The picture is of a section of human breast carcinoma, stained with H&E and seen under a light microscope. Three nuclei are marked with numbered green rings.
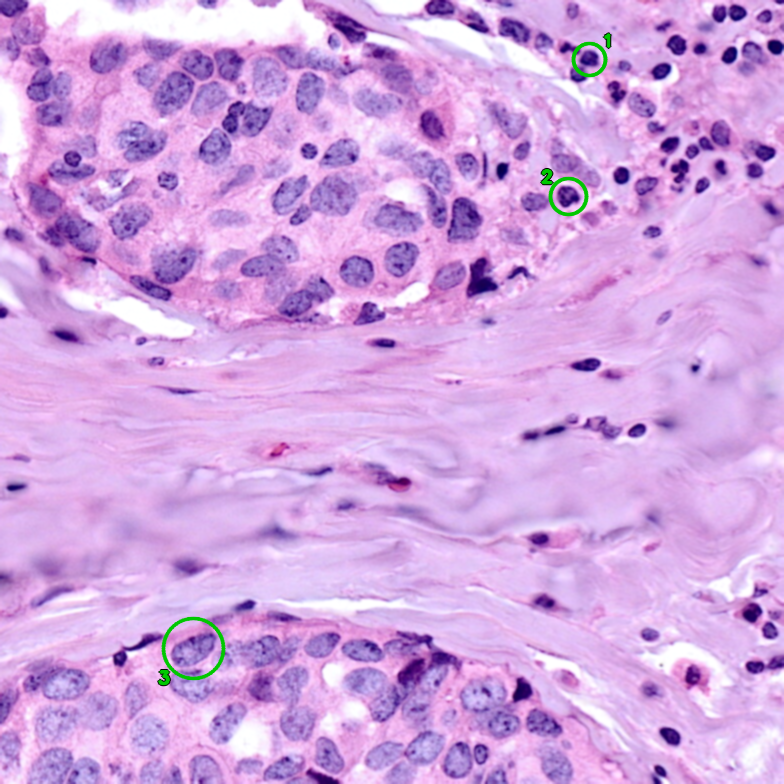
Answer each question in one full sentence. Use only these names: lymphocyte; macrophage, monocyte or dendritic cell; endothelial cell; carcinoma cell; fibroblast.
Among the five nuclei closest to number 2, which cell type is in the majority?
Macrophages, monocytes or dendritic cells make up most of the five nuclei closest to number 2.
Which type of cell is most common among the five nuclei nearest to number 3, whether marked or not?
Carcinoma cells make up most of the five nuclei closest to number 3.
